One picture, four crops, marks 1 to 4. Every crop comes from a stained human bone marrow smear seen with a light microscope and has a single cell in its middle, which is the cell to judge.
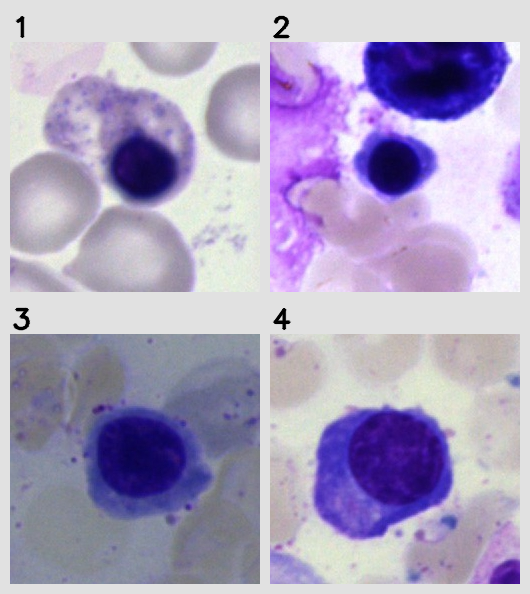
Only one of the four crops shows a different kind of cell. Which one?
4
